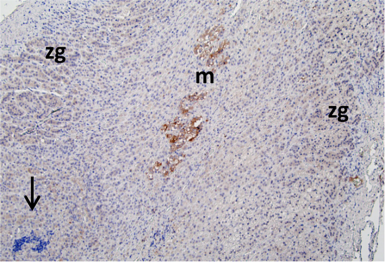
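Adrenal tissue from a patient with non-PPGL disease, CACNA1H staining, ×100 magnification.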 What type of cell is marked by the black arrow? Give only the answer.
Lymphocytes.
